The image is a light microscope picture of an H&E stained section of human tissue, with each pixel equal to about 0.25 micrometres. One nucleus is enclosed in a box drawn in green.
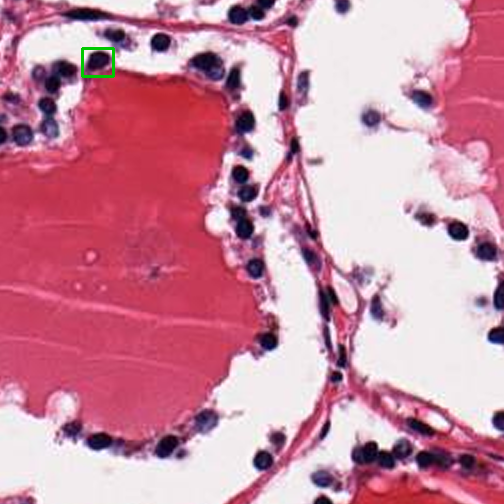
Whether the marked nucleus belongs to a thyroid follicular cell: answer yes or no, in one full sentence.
Yes, the owner of the marked nucleus is a thyroid follicular cell.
